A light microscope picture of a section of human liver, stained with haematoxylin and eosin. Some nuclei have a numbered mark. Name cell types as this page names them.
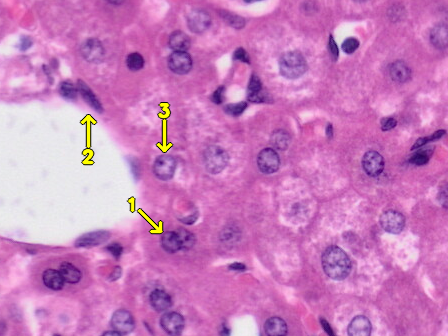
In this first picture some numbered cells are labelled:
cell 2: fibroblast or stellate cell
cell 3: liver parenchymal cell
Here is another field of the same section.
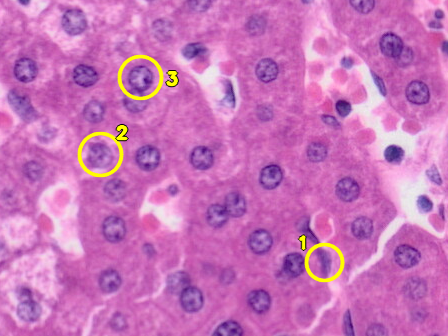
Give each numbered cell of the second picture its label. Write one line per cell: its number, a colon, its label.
1: fibroblast or stellate cell
2: liver parenchymal cell
3: liver parenchymal cell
